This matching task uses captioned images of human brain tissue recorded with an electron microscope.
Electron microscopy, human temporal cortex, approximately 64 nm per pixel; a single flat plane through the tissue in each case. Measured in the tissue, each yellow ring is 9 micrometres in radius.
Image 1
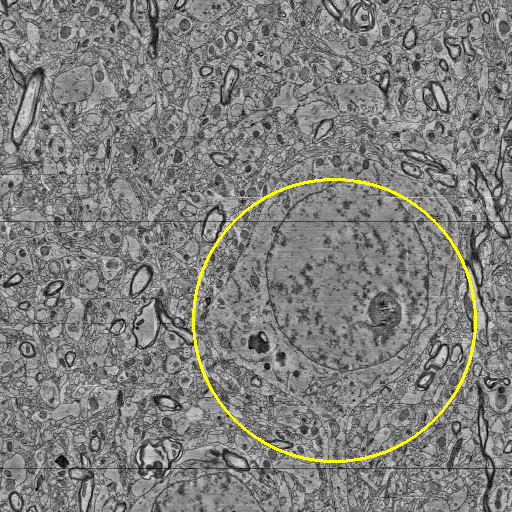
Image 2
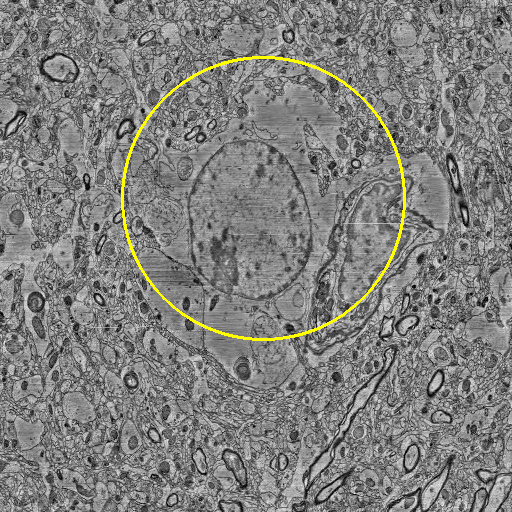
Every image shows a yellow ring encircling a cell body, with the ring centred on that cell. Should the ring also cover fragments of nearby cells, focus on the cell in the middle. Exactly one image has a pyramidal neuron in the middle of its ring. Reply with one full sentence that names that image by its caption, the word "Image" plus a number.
Image 1 shows the cell in question at the centre of its yellow ring.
